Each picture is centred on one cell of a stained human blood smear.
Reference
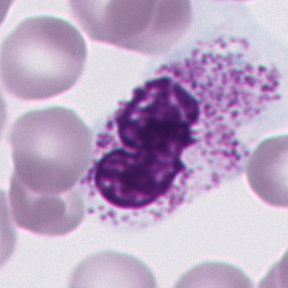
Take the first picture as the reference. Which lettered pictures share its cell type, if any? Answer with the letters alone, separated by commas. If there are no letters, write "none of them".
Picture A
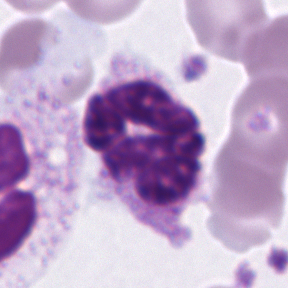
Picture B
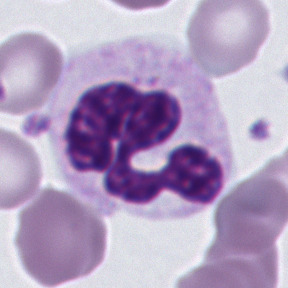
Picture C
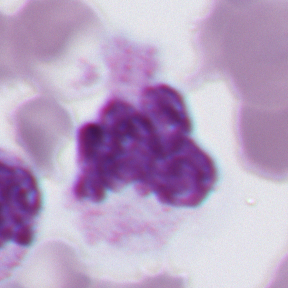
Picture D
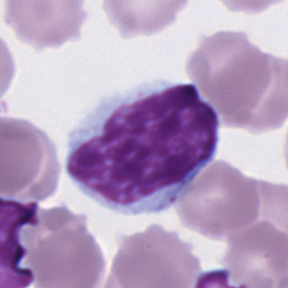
A, B, C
